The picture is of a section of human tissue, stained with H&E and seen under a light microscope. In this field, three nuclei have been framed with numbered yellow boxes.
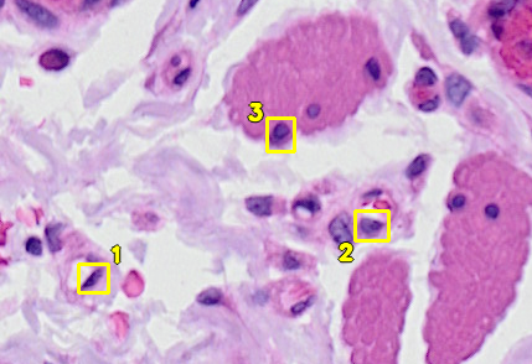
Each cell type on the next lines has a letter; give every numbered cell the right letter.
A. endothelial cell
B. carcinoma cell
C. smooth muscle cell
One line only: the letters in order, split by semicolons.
A; A; C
